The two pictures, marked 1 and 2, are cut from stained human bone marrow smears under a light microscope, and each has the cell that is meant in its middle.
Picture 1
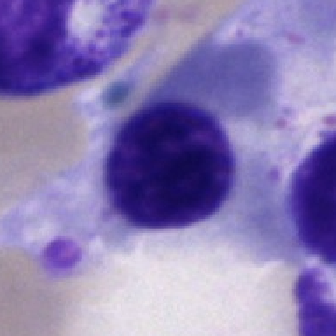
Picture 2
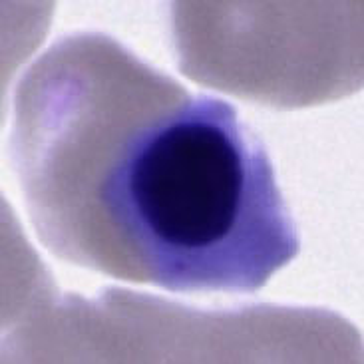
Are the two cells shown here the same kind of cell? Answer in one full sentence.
Yes, both cells are erythroblasts.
